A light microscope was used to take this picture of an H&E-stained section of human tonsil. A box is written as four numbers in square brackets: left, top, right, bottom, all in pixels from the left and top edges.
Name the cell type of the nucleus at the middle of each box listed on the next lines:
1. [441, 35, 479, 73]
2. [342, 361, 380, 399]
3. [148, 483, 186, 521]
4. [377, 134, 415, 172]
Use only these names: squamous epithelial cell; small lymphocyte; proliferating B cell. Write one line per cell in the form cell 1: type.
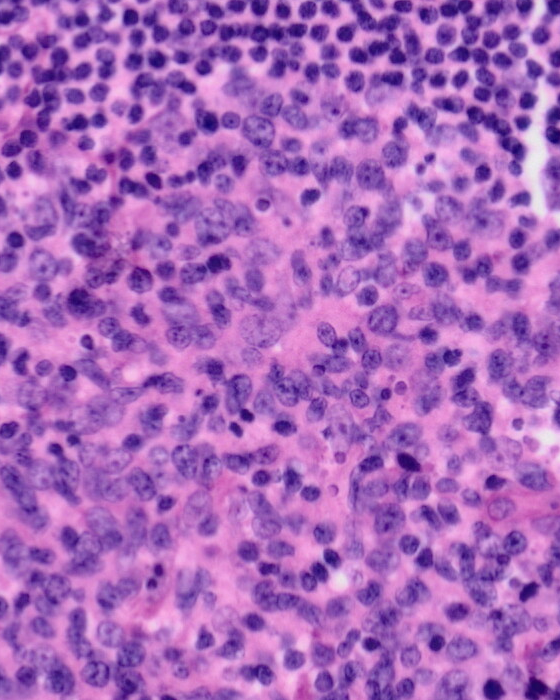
cell 1: small lymphocyte
cell 2: proliferating B cell
cell 3: proliferating B cell
cell 4: proliferating B cell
